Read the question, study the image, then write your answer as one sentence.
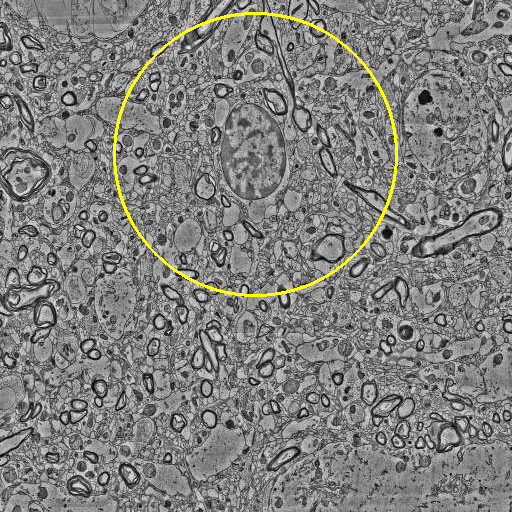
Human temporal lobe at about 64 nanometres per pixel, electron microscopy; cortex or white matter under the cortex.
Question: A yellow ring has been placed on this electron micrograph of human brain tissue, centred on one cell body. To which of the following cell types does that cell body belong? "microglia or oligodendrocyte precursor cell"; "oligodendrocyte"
That cell body belongs to a microglial cell or oligodendrocyte precursor cell.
